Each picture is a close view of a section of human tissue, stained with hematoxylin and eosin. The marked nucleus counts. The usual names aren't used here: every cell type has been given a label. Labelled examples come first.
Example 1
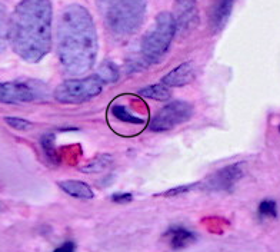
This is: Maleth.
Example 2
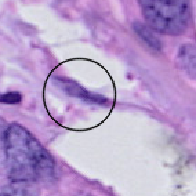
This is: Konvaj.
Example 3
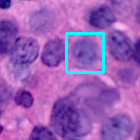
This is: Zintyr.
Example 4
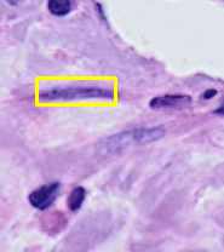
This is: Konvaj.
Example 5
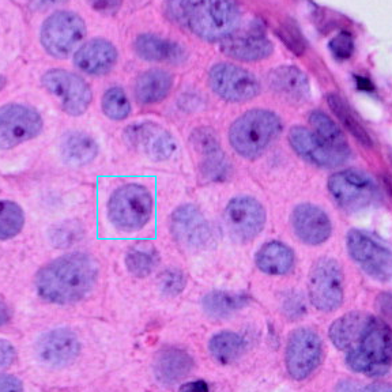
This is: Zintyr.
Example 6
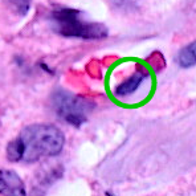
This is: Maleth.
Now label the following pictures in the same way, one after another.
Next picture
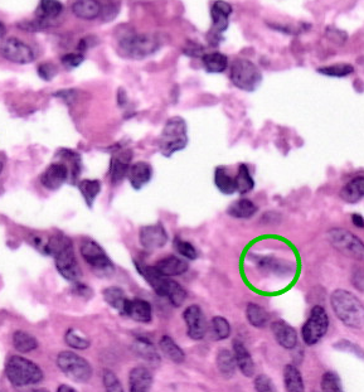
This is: Maleth.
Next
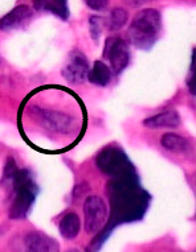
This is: Maleth.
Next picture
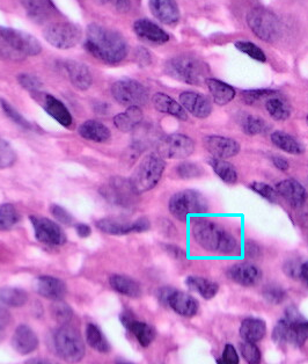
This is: Zintyr.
